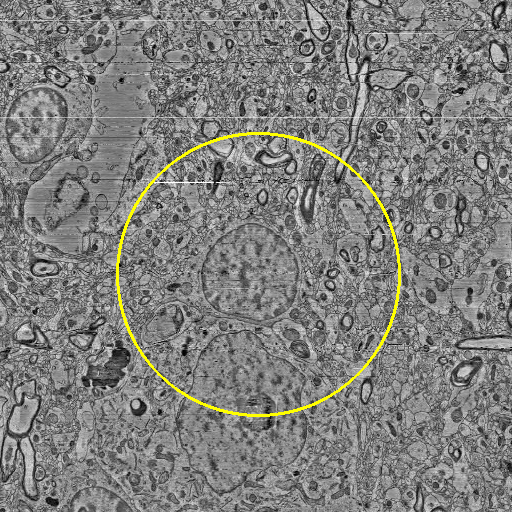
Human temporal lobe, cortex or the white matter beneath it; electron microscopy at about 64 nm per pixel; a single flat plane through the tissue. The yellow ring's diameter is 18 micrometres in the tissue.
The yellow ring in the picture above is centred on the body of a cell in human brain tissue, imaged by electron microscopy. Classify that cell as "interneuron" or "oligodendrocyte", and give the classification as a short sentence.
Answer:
The cell in the middle of the ring is an oligodendrocyte.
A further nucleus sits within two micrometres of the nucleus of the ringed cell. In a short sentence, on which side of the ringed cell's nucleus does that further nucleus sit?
That second nucleus is below it.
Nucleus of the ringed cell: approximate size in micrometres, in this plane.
About 6 micrometres across in this plane.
